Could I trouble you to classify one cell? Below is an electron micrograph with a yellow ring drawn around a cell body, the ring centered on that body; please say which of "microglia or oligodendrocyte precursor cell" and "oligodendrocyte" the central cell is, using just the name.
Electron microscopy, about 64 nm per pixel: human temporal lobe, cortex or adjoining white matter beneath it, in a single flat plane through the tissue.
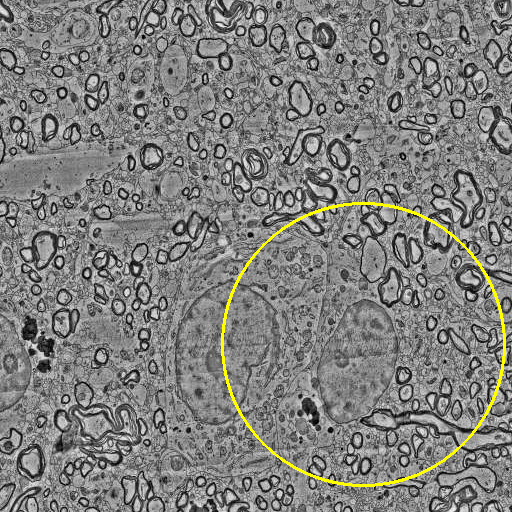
oligodendrocyte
